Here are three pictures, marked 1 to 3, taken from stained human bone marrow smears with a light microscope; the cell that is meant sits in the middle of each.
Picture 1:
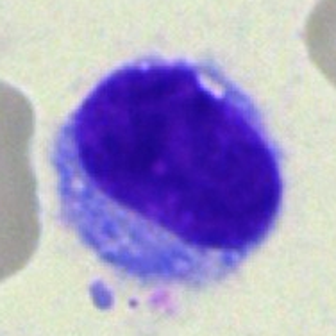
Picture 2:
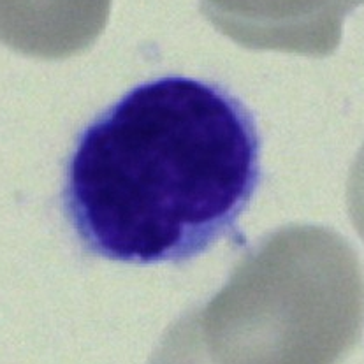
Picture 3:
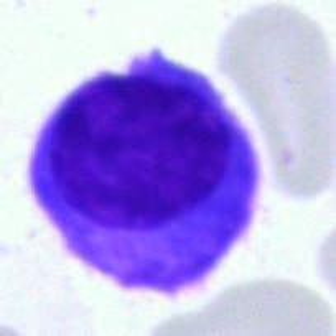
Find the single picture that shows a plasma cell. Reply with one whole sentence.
Picture 3 shows the plasma cell.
